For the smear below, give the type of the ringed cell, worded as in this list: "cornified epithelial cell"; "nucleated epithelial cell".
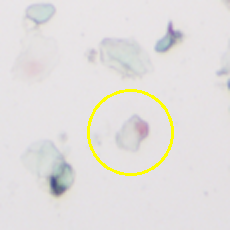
nucleated epithelial cell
